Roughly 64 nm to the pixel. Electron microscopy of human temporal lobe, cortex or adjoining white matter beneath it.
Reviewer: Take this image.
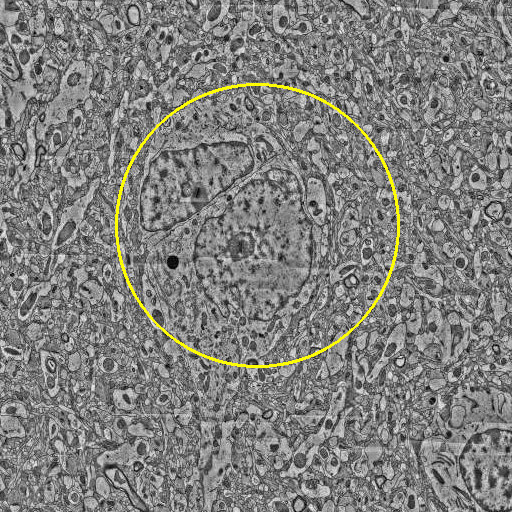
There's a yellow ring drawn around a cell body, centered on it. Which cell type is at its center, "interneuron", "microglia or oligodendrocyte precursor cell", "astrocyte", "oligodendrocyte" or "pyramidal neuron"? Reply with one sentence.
At the center of the yellow ring is an interneuron.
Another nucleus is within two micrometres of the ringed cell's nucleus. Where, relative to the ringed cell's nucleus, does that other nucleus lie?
The second nucleus sits above it.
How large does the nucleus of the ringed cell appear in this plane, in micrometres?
In this plane, about 9 micrometres in length and 8 in width.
